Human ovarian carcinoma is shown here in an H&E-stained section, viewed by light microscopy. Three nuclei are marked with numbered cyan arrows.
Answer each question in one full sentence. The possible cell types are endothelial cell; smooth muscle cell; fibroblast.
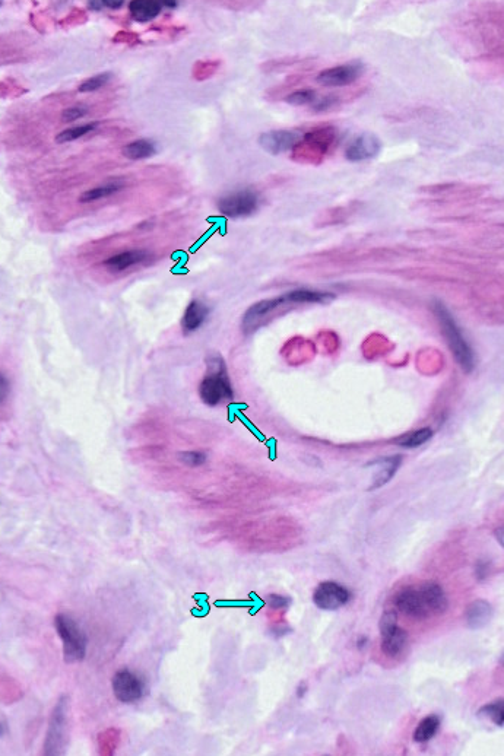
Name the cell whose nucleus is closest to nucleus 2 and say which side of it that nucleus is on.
An endothelial cell lies closest, above and to the right of nucleus 2.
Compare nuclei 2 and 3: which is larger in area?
At about 3 times the area of nucleus 3, nucleus 2 is the larger of the two.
